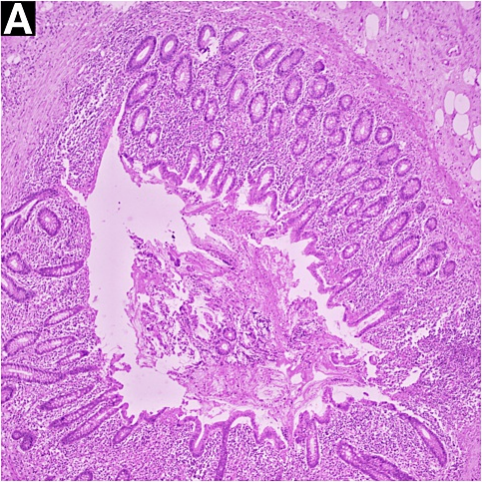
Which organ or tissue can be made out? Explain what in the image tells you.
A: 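A lumen surrounded by a ring of mucosa with many tubular crypts. Dense cellular lamina propria around the crypts. Fat cells at the outer edge of the wall. That points to this answer: appendix.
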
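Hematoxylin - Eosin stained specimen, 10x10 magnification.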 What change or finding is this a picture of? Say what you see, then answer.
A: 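Sloughed-out mucosa. A central lumen contains detached, fragmented pink tissue debris. The epithelial lining along the lumen is frayed and partly lifted off.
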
